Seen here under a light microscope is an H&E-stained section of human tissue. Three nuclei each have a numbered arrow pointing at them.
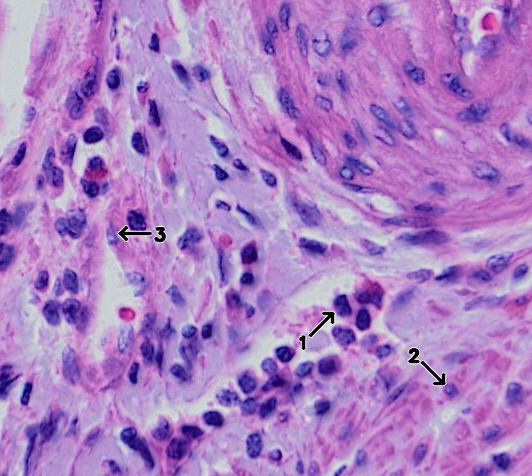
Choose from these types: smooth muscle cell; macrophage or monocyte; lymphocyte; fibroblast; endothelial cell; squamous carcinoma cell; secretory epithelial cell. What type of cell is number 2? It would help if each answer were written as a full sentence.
The cell that goes by number 2 is a smooth muscle cell.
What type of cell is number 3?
Cell 3, as marked in the section, is an endothelial cell.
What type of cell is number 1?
In the tissue shown, cell 1 is a lymphocyte.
